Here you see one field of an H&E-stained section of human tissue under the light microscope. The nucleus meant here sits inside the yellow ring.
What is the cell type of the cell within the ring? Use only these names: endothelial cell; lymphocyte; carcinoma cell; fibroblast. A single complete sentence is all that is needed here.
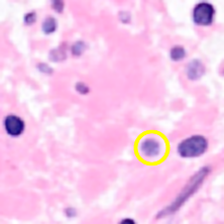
Within the stained tissue, the cell within the ring is a lymphocyte.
